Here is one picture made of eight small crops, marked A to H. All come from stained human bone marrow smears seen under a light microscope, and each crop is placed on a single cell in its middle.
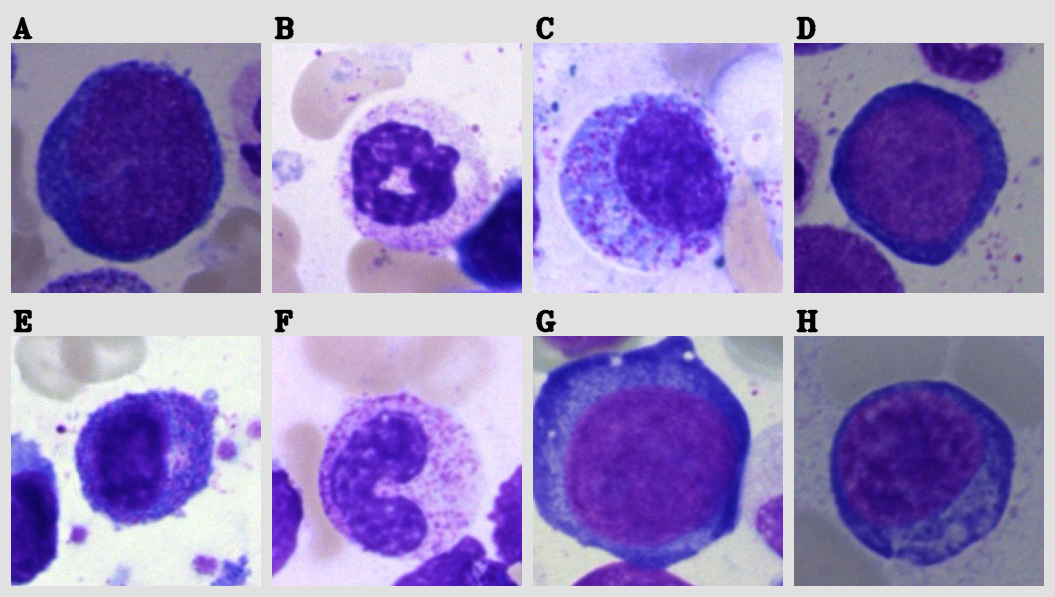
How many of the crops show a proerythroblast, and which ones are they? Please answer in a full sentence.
The crops with proerythroblasts are A, D, G and H, four in total.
